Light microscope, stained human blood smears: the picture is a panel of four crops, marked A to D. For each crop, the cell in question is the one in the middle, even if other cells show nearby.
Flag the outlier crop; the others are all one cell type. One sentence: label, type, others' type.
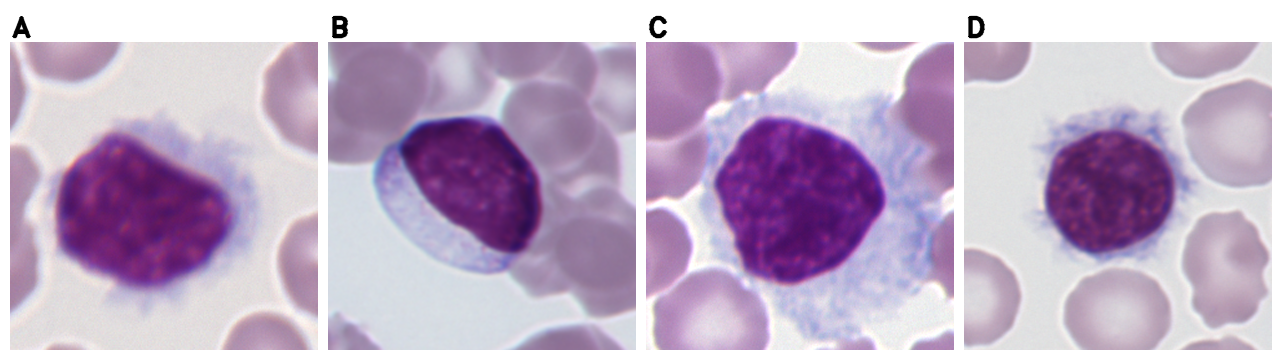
All crops show hairy cells except crop B, which is a large granular lymphocyte.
